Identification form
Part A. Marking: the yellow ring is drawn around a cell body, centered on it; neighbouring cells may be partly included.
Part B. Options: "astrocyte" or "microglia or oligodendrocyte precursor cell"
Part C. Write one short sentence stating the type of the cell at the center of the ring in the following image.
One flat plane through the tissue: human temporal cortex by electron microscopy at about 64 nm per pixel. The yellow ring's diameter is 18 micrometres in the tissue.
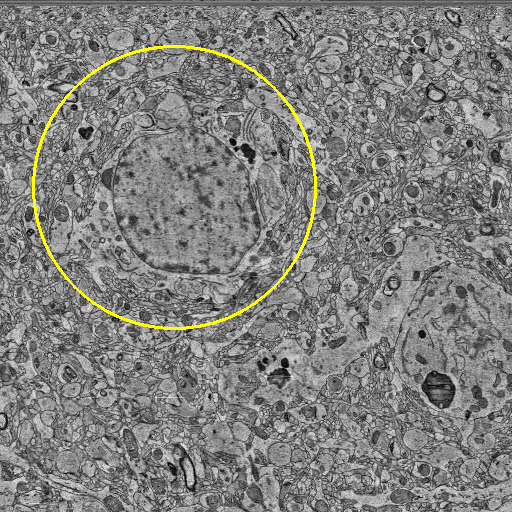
The center of the ring holds an astrocyte.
